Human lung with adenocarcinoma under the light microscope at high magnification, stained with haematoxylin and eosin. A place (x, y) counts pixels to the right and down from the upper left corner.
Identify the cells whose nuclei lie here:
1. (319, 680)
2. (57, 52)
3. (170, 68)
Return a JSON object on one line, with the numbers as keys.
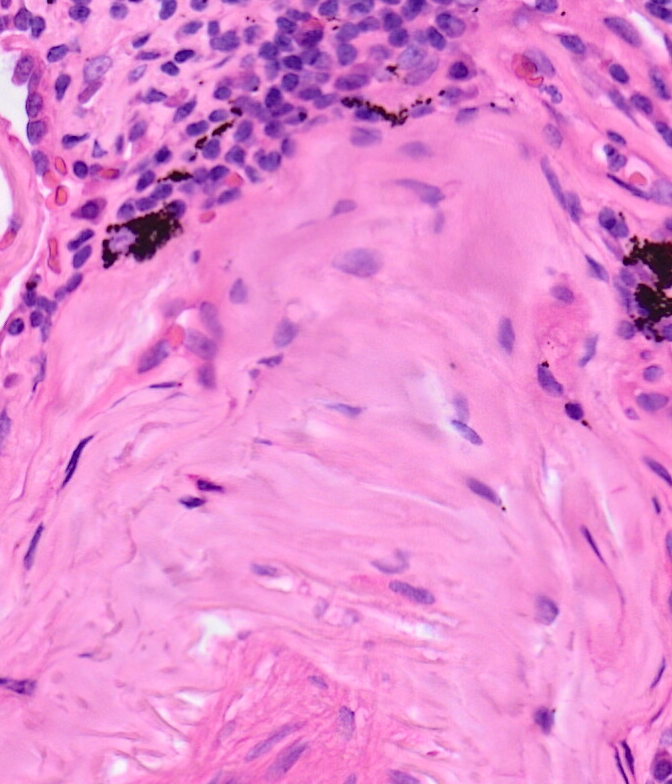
{"1": "smooth muscle cell or pericyte", "2": "lymphocyte", "3": "lymphocyte"}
